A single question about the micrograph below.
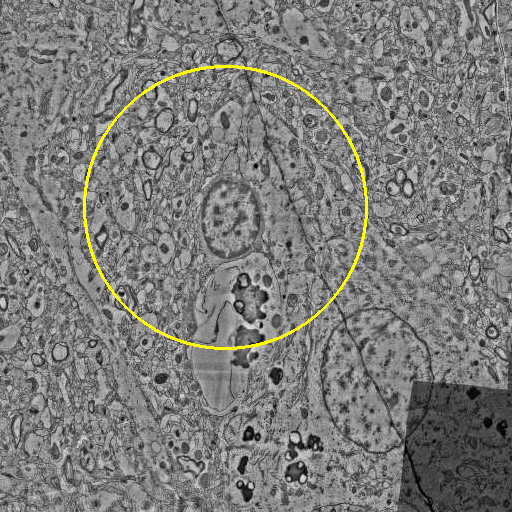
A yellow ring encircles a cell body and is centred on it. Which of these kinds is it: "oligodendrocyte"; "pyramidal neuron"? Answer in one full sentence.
The cell body at the centre of the yellow ring belongs to an oligodendrocyte.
